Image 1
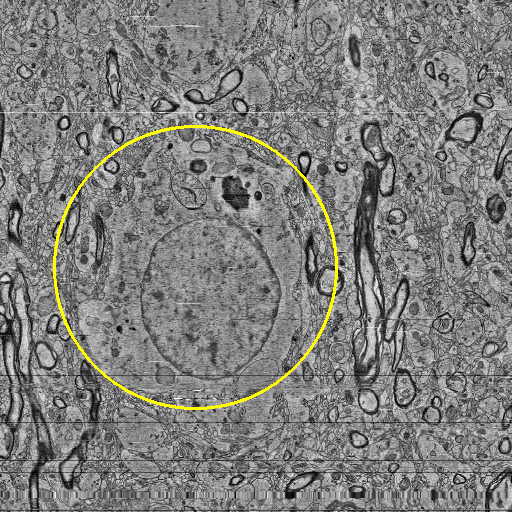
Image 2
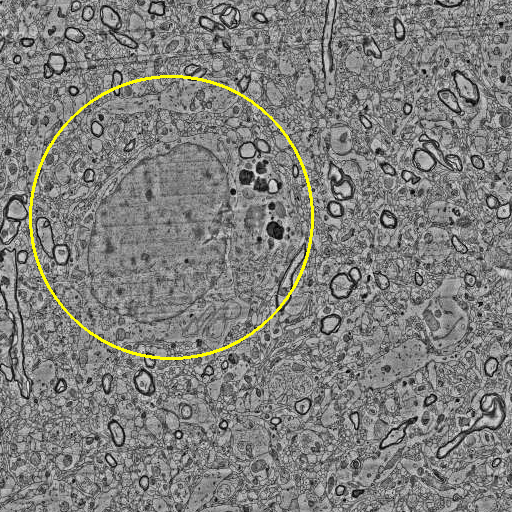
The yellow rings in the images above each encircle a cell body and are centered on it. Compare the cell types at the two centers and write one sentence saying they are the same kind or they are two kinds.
Taken together, the two cells at the ring centers are two kinds.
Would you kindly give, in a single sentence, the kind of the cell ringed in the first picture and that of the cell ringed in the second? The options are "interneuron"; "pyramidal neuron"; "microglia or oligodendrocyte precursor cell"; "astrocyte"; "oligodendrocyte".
The second cell is an interneuron, and the first cell is an astrocyte.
